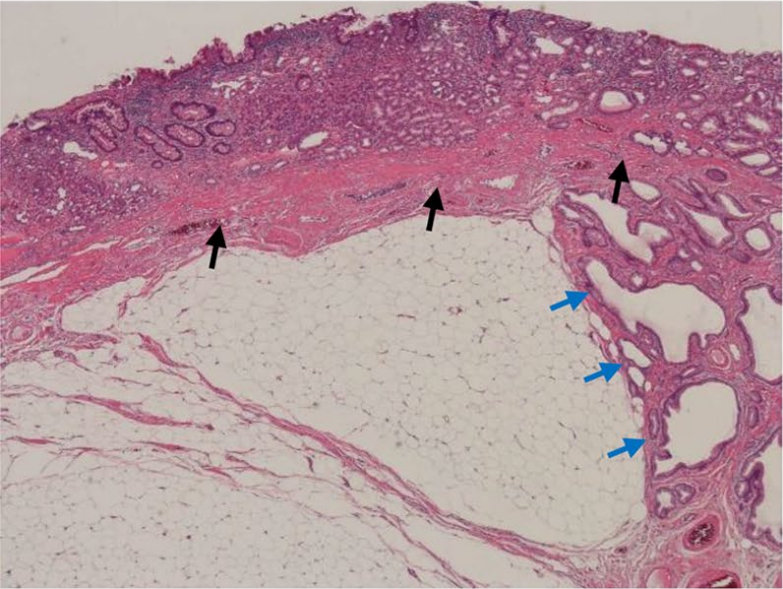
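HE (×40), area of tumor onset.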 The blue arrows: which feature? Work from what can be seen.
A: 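Glandular ducts. The arrows point to dilated, irregular epithelium-lined spaces. These lie below the pink muscle band, beside the fat.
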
